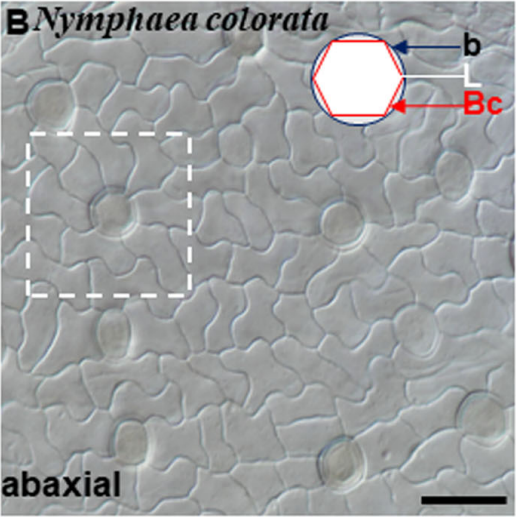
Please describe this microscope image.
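The lower epidermis shows pavement cells with strongly wavy walls and, scattered among them, round to oval pale bodies with a smooth rim, each set where the walls of several cells meet. These are hydropote complexes, with a bowl-shaped cell forming their round outline.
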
